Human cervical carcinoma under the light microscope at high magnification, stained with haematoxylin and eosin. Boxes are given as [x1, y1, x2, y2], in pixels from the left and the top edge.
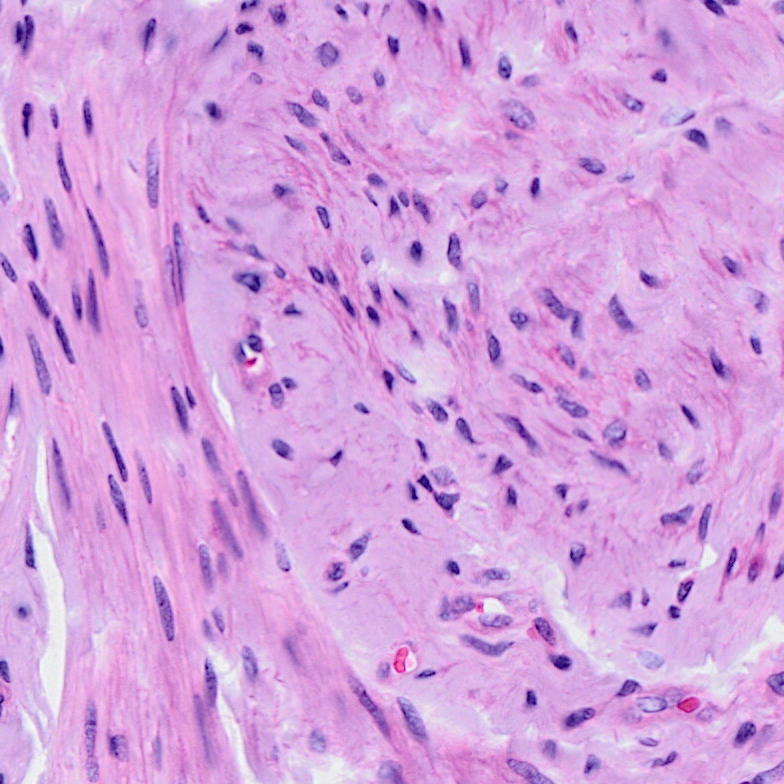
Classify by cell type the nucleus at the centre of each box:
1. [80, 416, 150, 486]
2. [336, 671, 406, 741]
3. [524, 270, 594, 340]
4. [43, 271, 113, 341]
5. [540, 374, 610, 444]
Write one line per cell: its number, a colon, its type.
1: fibroblast
2: smooth muscle cell
3: smooth muscle cell
4: fibroblast
5: smooth muscle cell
